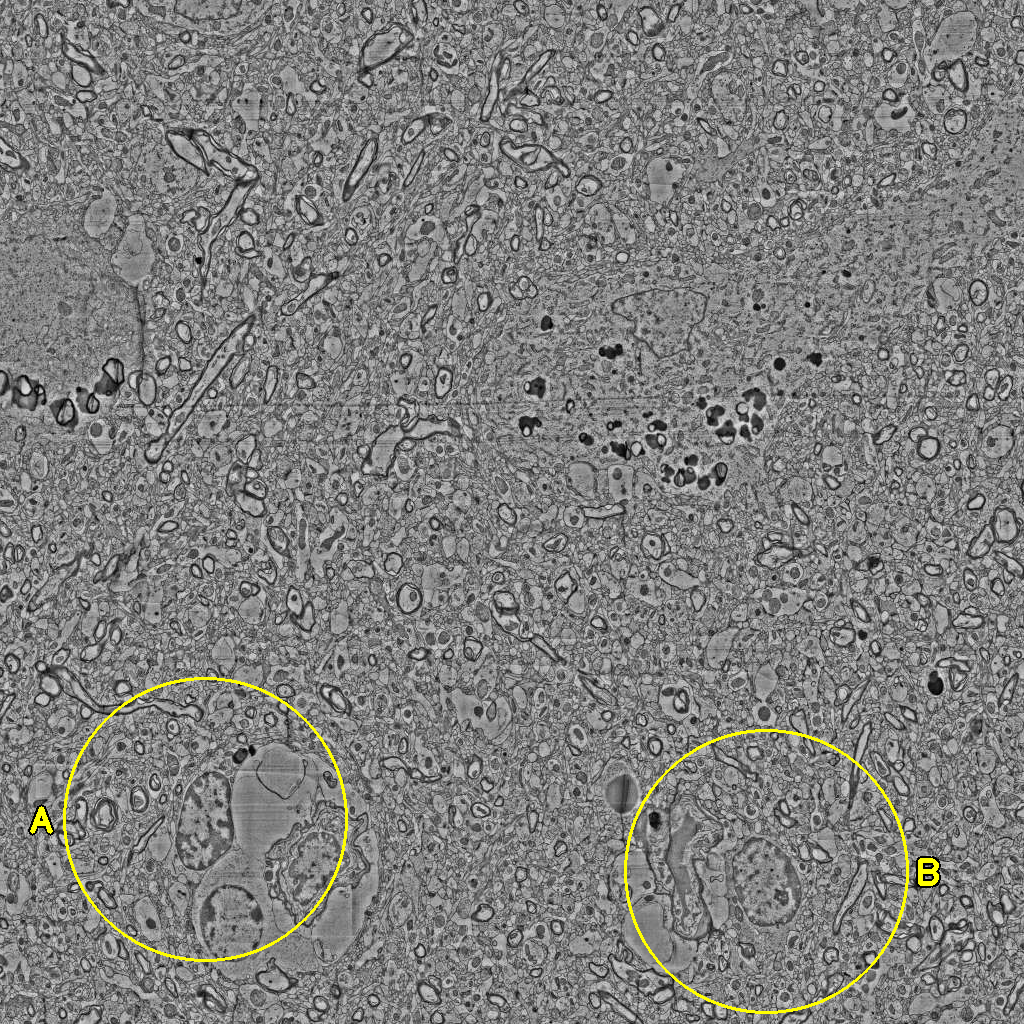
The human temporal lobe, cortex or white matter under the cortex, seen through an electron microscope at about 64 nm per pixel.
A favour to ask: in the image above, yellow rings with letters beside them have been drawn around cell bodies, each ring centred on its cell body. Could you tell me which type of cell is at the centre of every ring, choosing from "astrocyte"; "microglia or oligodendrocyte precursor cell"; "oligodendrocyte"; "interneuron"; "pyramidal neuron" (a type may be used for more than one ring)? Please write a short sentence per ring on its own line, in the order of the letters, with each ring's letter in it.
Ring A holds a microglial cell or oligodendrocyte precursor cell at its centre.
Ring B holds an oligodendrocyte at its centre.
